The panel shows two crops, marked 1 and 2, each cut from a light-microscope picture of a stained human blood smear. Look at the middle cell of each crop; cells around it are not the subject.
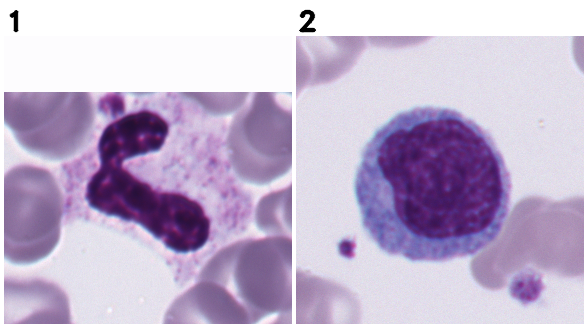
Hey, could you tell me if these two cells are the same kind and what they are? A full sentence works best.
No, crop 1 shows a segmented neutrophil and crop 2 a monocyte.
